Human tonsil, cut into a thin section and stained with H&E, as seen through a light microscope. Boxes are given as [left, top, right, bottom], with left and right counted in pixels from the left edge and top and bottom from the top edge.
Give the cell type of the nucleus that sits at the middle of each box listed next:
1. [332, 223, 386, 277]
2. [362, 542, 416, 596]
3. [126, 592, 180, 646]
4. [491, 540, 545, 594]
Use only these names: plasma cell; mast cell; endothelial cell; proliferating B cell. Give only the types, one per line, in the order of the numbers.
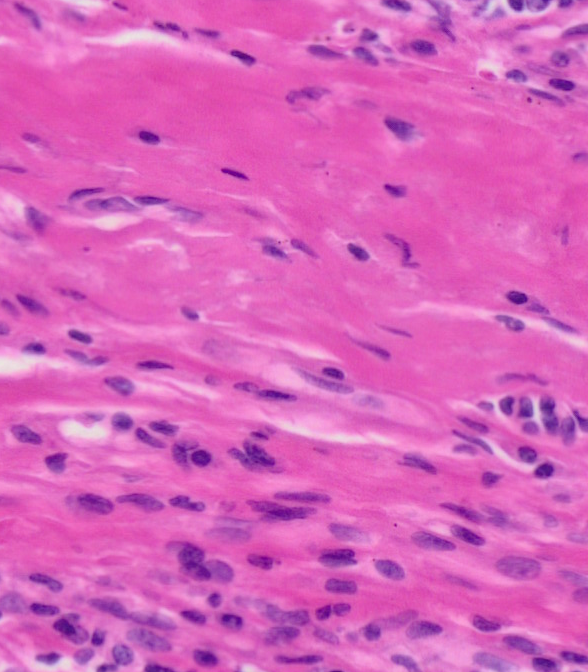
mast cell
mast cell
endothelial cell
endothelial cell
